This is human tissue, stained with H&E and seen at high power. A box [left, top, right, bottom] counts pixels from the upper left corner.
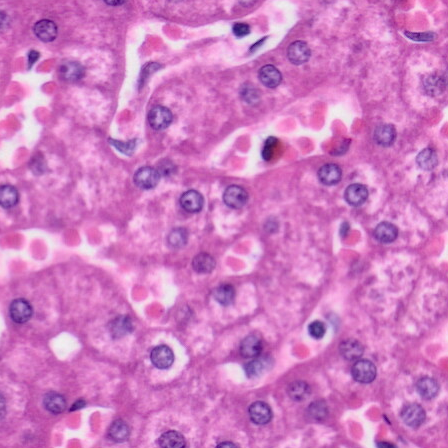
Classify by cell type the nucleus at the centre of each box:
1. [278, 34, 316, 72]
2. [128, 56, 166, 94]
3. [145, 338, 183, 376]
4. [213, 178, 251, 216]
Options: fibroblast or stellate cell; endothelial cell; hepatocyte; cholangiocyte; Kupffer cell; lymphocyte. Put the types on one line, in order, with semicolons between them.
hepatocyte; Kupffer cell; hepatocyte; hepatocyte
